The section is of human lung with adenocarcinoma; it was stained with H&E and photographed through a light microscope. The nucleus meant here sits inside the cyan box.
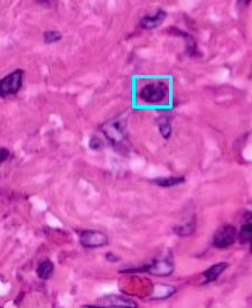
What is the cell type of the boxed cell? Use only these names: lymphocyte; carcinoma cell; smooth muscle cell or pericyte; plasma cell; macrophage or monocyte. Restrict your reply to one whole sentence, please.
As a matter of cell type, the boxed cell is a plasma cell.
